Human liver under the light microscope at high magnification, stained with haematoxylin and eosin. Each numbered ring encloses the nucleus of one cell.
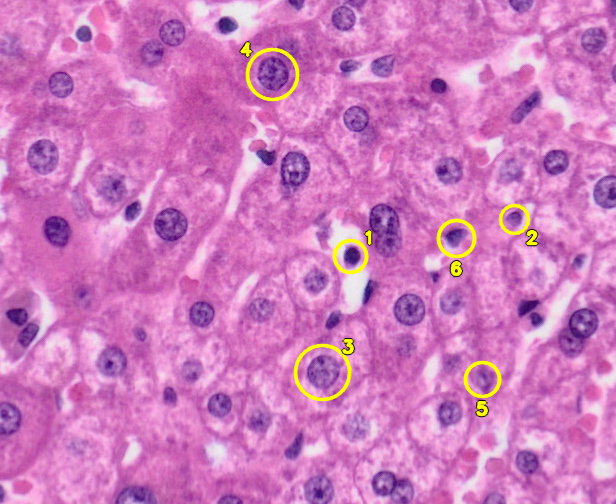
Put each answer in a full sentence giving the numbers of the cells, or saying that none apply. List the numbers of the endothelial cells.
Just one of the numbered cells is an endothelial cell, namely number 6.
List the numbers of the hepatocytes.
The cells with numbers 3, 4 and 5 are hepatocytes by type.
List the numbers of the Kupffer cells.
There is just one numbered cell that is a Kupffer cell, and it is cell 2.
